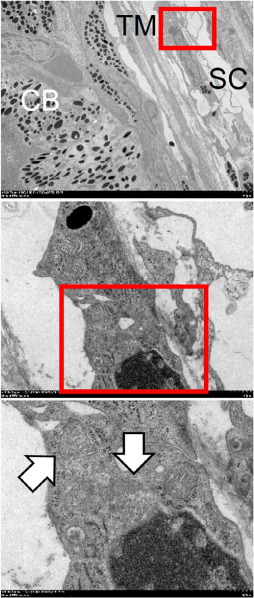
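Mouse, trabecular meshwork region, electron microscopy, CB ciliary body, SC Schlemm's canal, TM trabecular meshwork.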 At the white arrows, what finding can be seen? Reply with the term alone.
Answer: Damaged mitochondria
